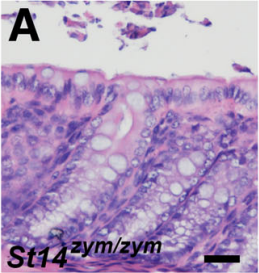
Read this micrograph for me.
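This is colonic mucosa in a pink-and-purple stained section. A flat surface of tall columnar cells with a bright pink luminal border faces the lumen at the top, where some detached debris floats. Below, straight tubular crypts run downward, their walls crowded with goblet cells whose pale, clear, rounded mucin cups push the purple nuclei to the base. Between crypts lies a thin cellular lamina propria. No villi are present, and the regular crypts with abundant goblet cells mark this as large intestine.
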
